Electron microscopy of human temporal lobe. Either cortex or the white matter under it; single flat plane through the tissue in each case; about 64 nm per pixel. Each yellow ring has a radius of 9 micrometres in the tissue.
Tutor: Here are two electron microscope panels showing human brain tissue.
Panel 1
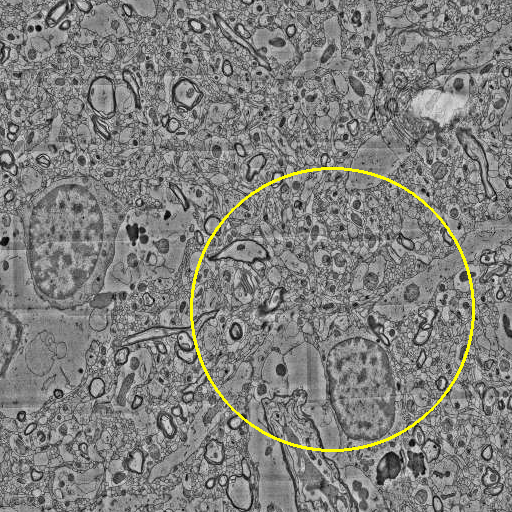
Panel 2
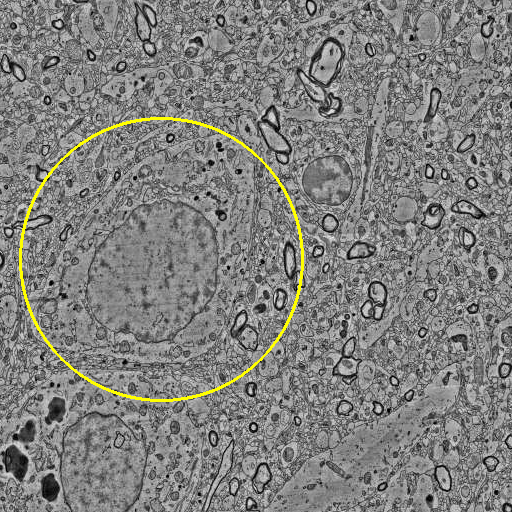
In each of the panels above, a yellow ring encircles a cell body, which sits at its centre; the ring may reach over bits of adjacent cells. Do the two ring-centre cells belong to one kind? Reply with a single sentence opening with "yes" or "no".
No, the two cells sitting at the ring centres in the panels belong to two kinds.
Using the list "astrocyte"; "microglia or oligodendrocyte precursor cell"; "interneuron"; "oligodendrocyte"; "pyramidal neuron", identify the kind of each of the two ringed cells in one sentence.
The first is an oligodendrocyte and the second is a pyramidal neuron.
